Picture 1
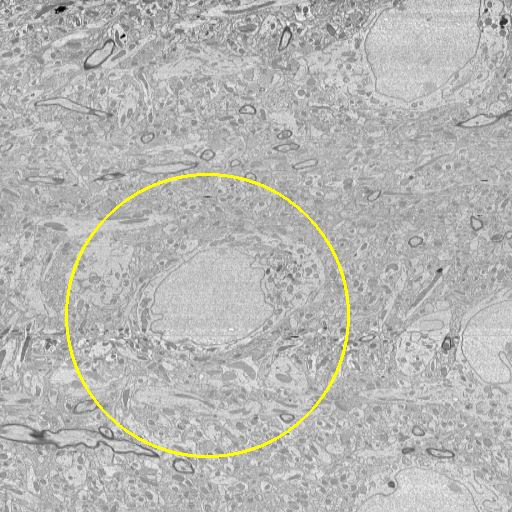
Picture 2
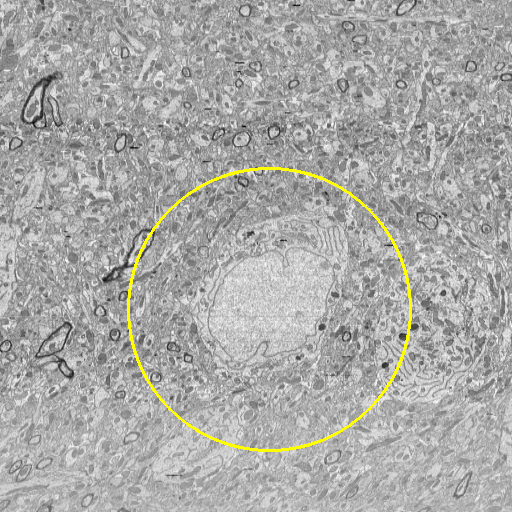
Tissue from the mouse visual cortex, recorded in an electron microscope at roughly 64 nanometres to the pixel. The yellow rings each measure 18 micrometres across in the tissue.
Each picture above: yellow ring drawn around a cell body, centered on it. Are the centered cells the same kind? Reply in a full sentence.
Yes, the two cells are the same kind.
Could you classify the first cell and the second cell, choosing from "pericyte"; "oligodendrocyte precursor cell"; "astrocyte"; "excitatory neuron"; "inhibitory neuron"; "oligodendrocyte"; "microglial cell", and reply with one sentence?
Both the first and the second picture show an inhibitory neuron in the ring.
